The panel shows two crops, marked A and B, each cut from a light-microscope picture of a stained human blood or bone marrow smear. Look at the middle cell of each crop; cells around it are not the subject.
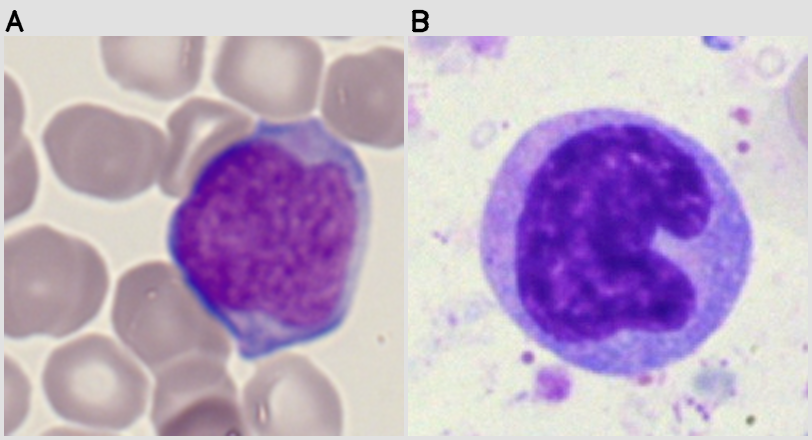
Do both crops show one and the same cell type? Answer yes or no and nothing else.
no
